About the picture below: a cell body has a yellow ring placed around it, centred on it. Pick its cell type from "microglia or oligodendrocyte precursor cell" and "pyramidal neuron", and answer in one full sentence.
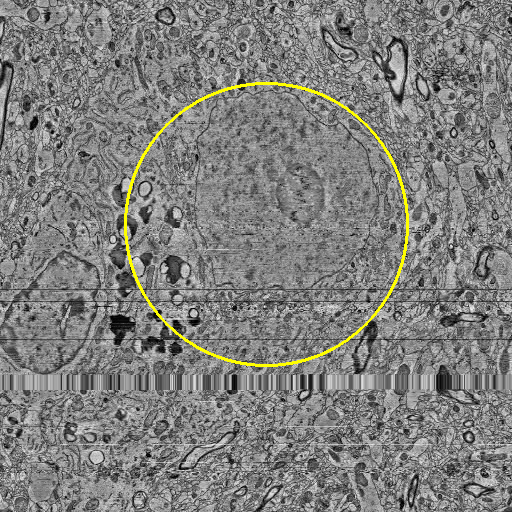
In the picture, a pyramidal neuron is the cell sitting at the centre of the yellow ring.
